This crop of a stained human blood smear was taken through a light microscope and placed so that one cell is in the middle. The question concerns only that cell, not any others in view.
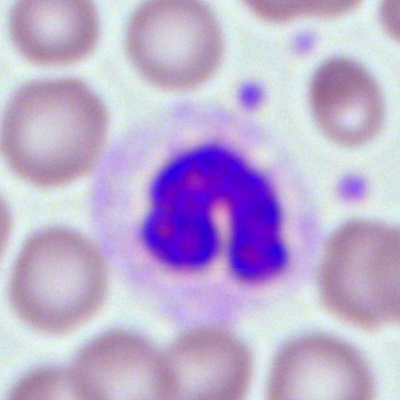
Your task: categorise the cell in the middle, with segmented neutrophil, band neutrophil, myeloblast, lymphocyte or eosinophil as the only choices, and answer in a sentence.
In the crop, the cell of interest at the centre is a band neutrophil.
